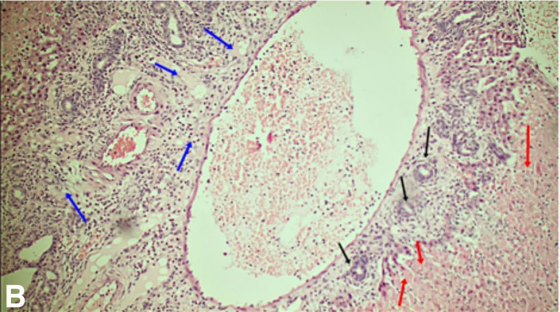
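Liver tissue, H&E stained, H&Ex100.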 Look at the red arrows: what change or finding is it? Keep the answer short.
Hepatocyte necrosis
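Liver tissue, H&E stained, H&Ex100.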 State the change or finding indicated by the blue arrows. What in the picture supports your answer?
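Inflammation and fibrosis. Pale pink fibrous tissue surrounds the vessel and ducts. Many small dark nuclei are scattered through this tissue.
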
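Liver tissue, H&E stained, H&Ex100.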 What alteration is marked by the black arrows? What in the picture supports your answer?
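Several small round duct profiles lined by cuboidal cells lie in the connective tissue beside the large vessel. The duct profiles are clustered rather than single.
Hence: ductal proliferation.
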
